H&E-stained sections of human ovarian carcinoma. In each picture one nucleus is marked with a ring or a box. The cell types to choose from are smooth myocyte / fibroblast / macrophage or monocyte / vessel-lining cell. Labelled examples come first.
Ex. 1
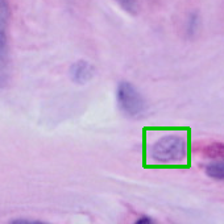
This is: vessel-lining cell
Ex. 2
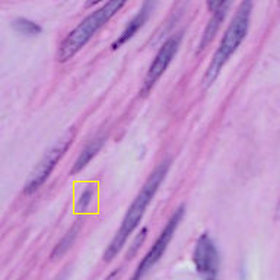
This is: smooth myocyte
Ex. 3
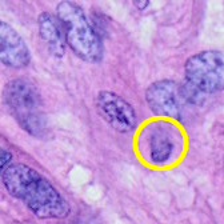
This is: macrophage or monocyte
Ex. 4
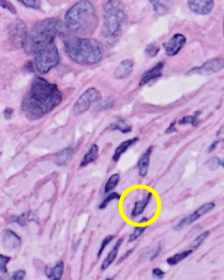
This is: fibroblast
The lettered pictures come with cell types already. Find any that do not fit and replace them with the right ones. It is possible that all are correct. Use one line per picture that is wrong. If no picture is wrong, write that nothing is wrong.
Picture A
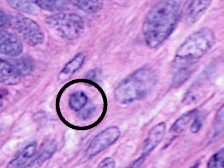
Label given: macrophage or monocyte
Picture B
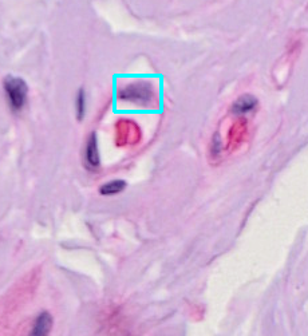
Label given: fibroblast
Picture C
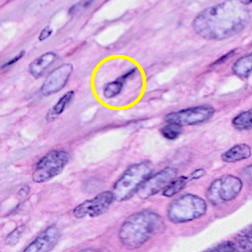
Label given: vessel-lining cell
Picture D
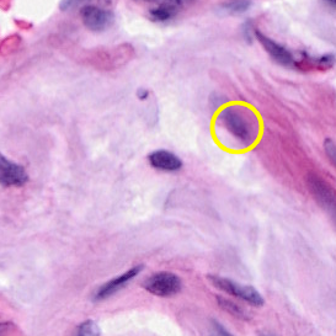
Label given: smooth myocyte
B is labelled fibroblast; correct label: vessel-lining cell
C is labelled vessel-lining cell; correct label: macrophage or monocyte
